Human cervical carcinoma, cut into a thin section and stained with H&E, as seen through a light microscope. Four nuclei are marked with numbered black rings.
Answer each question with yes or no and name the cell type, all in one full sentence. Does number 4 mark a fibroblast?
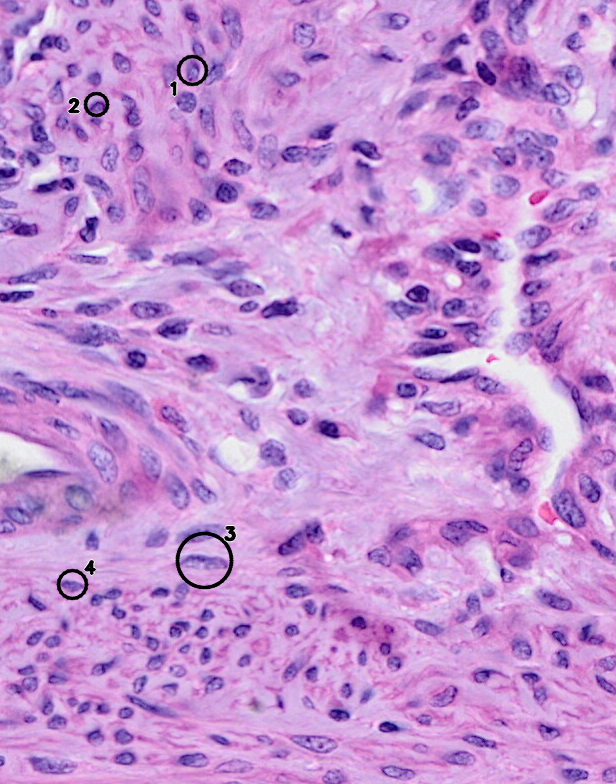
No, cell 4 is to be classed as a smooth muscle cell, not a fibroblast.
